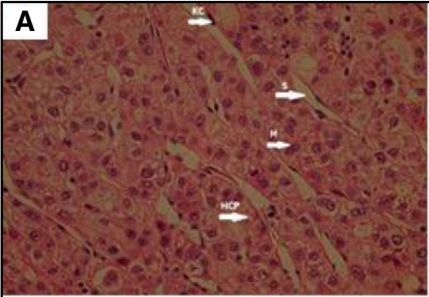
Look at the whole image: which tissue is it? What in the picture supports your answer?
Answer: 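Polygonal cells with round central nuclei and pink cytoplasm fill the field. The cells lie in cords separated by narrow slit-like spaces. The answer: hepatic tissue.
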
